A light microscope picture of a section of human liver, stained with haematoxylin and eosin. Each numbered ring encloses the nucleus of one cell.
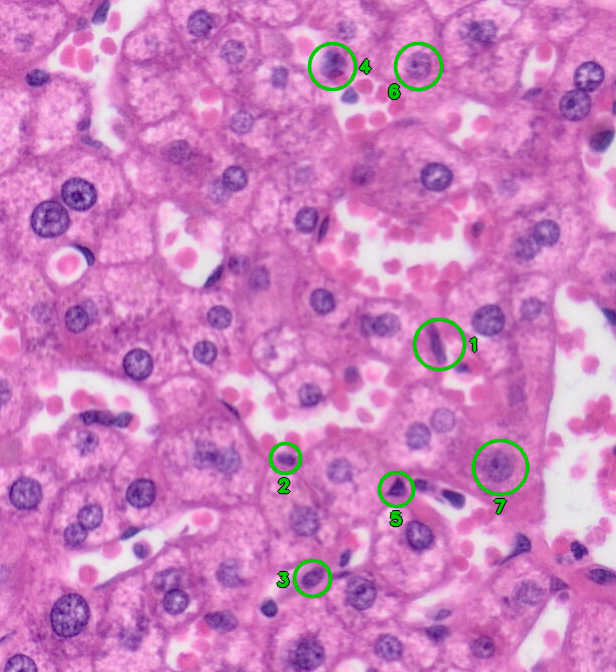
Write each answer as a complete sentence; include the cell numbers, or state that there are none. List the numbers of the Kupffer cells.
As for the cells numbered 1 and 3, they are Kupffer cells.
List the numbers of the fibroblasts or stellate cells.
The numbers 2 and 5 mark cells that are fibroblasts or stellate cells.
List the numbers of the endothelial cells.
Cell 4 is an endothelial cell, while every other numbered cell is not.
